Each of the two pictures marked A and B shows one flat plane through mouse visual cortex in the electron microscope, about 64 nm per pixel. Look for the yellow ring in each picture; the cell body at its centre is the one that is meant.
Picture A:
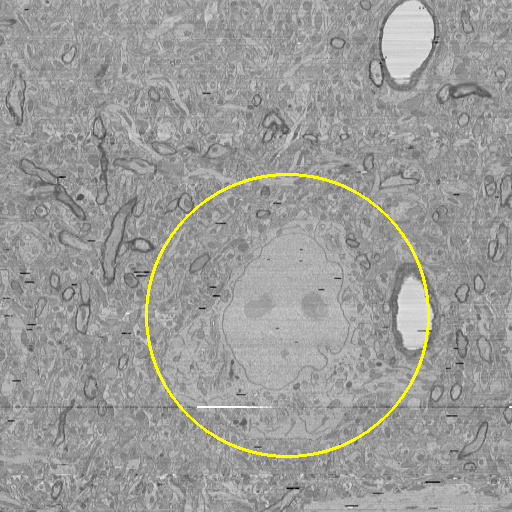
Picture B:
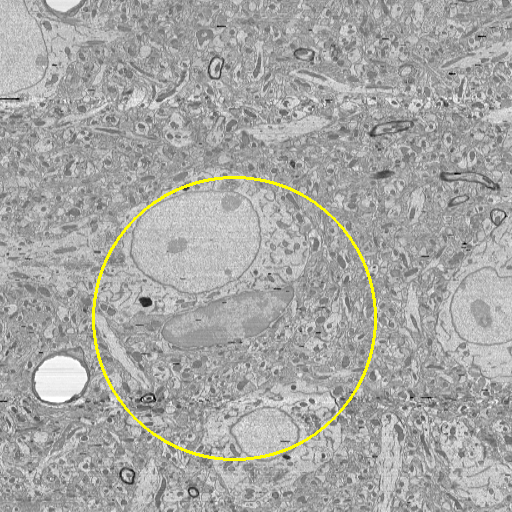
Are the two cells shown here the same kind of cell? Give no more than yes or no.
no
